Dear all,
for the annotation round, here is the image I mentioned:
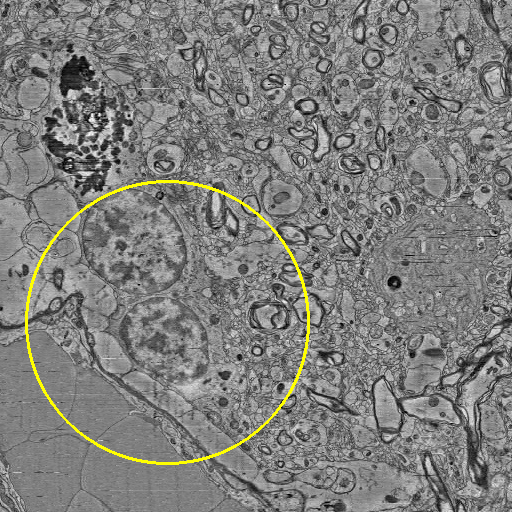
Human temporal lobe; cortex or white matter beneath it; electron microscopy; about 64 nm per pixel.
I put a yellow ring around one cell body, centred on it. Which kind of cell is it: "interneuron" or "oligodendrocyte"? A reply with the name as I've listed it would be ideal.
oligodendrocyte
